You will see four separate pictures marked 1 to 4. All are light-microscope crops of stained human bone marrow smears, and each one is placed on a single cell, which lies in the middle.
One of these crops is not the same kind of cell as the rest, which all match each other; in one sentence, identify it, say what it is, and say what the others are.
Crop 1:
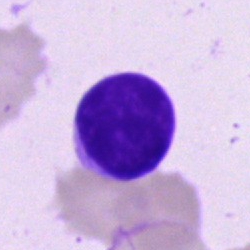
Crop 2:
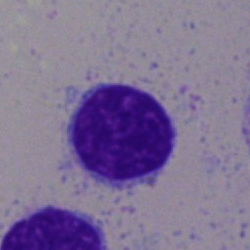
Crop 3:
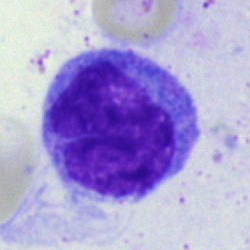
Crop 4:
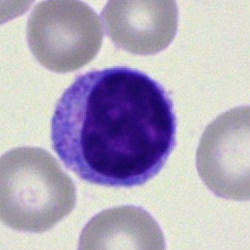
Crop 3 is the outlier, with a monocyte against lymphocytes in the rest.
